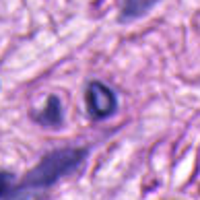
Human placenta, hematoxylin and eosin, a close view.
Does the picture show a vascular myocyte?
Yes.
